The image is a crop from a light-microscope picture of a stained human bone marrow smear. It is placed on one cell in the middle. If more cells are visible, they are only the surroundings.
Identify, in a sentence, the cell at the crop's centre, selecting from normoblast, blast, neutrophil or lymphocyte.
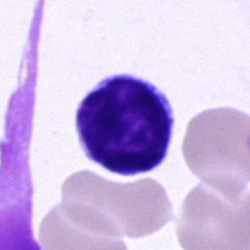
The target cell in the middle of the crop is a lymphocyte.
